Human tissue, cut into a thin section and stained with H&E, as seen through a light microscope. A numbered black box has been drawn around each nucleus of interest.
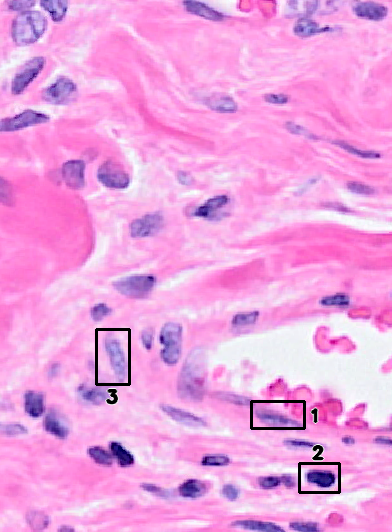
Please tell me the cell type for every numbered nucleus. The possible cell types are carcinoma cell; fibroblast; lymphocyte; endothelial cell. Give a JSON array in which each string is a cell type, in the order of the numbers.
["endothelial cell", "lymphocyte", "endothelial cell"]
